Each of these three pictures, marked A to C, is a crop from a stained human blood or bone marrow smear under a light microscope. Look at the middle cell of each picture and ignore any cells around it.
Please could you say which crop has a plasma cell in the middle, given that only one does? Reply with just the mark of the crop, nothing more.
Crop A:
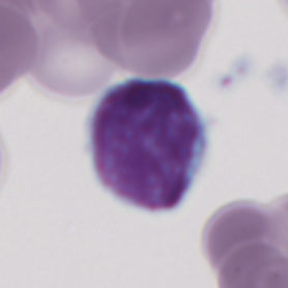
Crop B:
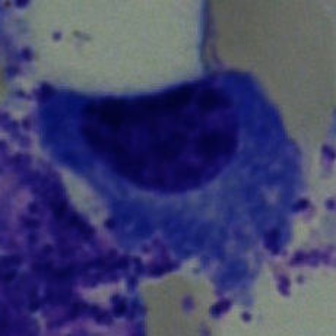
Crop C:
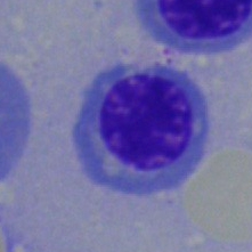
B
